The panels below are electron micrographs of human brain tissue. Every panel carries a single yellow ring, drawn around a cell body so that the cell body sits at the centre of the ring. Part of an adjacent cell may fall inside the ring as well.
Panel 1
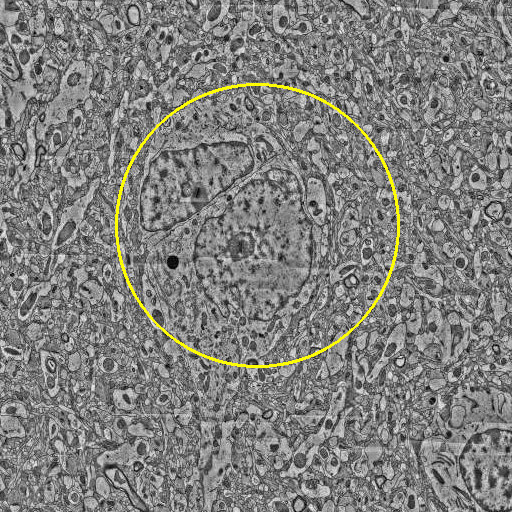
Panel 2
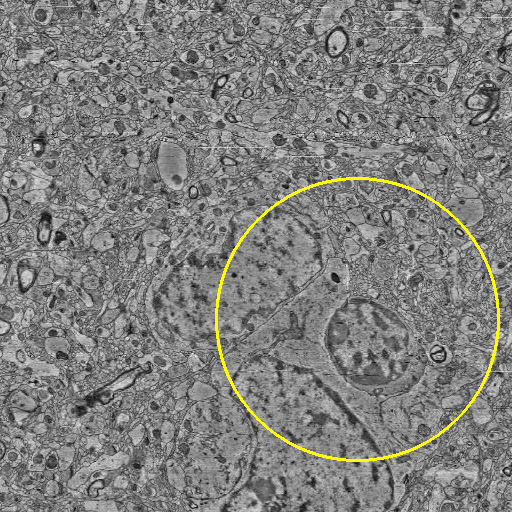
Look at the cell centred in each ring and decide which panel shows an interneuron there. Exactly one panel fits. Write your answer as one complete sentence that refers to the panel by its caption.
Panel 1 has it at the centre of its ring.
